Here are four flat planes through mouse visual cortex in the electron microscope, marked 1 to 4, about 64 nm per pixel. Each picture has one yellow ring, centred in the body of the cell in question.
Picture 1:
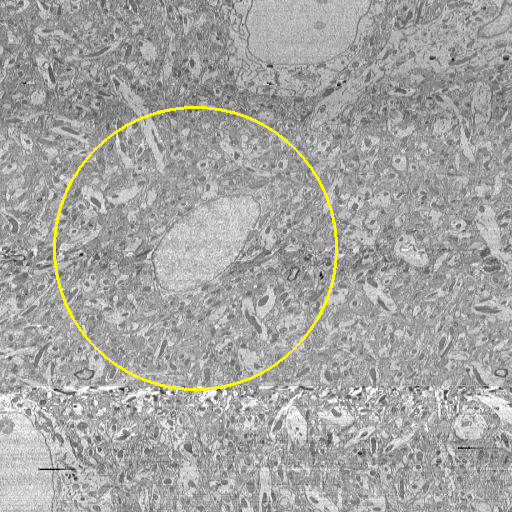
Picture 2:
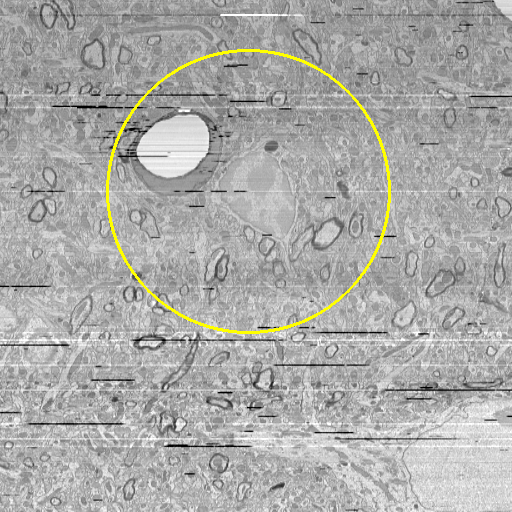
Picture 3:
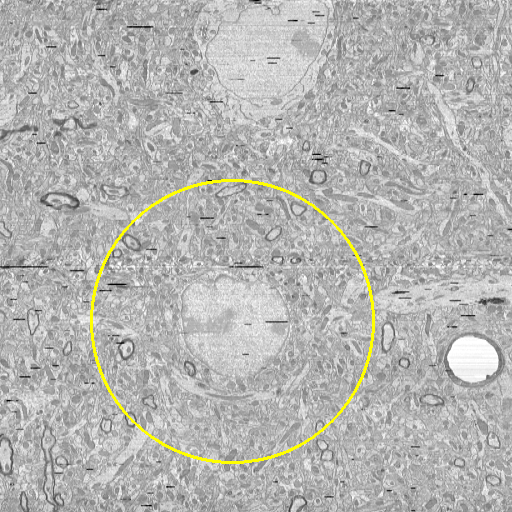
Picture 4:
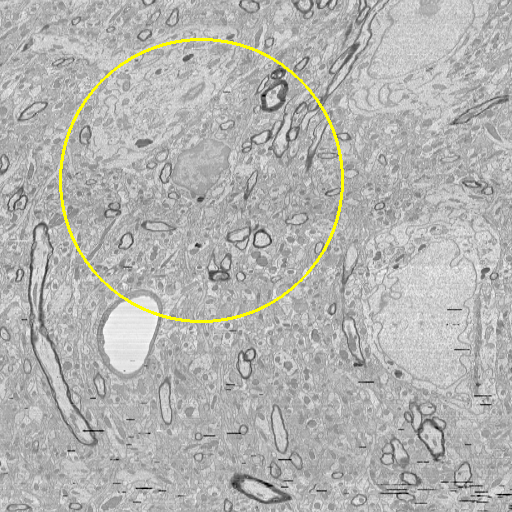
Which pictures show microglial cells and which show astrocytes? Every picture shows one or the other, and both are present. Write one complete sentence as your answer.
Pictures 2 and 4 show microglial cells, while pictures 1 and 3 show astrocytes.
